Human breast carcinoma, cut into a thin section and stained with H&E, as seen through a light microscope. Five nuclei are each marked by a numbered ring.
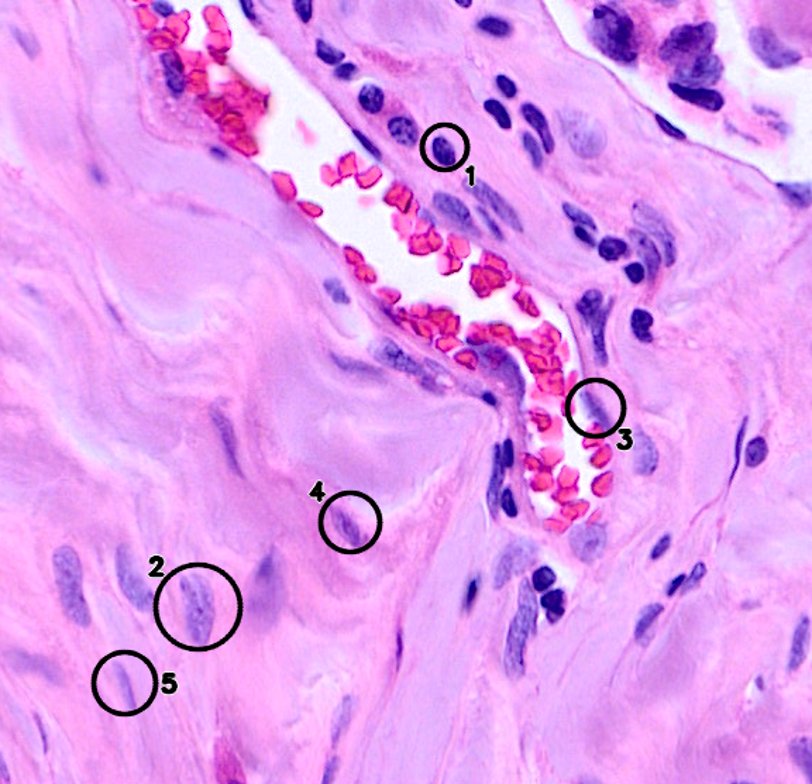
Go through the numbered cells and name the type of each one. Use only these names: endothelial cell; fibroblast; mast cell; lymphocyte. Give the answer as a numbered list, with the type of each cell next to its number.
1. lymphocyte
2. fibroblast
3. endothelial cell
4. fibroblast
5. fibroblast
